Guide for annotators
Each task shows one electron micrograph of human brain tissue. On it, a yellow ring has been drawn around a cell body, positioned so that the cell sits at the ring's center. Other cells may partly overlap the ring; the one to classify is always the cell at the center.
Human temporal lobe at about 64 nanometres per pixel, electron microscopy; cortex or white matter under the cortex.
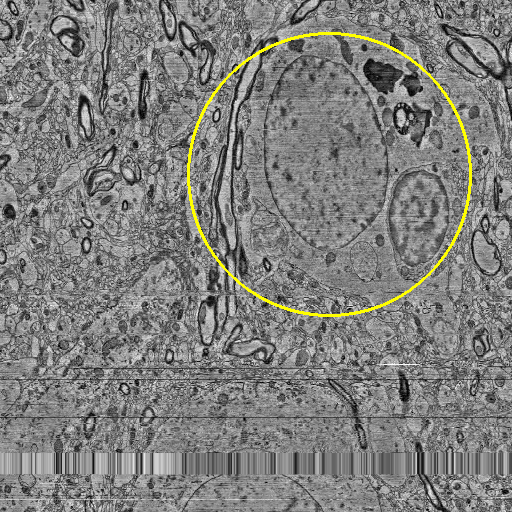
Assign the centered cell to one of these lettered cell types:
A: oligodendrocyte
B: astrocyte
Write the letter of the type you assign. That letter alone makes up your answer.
B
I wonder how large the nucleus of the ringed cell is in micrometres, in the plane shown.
Approximately 12 by 8 micrometers, which makes the nucleus clearly longer than it is wide in this plane.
